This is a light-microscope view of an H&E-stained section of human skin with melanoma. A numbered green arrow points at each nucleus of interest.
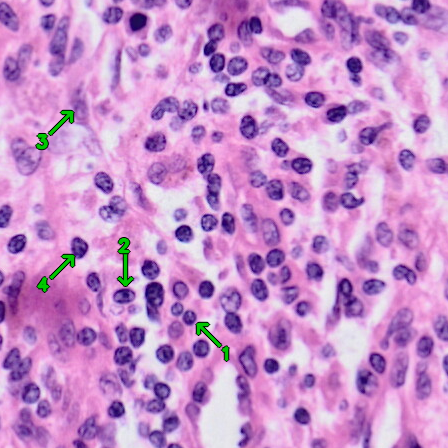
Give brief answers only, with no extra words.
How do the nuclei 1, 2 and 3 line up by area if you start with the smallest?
1, 2, 3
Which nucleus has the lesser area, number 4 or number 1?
1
